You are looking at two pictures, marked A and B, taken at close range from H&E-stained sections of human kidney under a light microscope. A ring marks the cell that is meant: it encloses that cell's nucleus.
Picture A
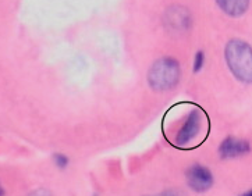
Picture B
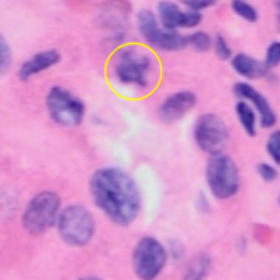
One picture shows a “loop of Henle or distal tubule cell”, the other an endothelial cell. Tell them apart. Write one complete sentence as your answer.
It is picture A that shows an endothelial cell, and picture B that shows a “loop of Henle or distal tubule cell”.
